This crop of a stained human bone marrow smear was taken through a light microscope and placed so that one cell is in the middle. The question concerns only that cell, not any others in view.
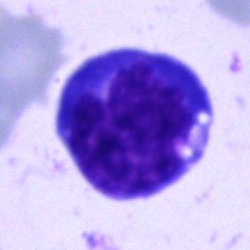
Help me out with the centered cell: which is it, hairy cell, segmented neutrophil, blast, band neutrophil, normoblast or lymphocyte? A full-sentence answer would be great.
Where the crop is centred, there is a blast.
